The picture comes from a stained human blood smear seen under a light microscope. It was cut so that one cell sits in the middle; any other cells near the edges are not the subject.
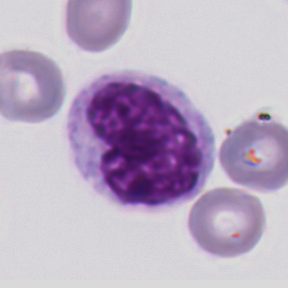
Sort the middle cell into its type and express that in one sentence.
The crop shows a band neutrophil in its centre.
